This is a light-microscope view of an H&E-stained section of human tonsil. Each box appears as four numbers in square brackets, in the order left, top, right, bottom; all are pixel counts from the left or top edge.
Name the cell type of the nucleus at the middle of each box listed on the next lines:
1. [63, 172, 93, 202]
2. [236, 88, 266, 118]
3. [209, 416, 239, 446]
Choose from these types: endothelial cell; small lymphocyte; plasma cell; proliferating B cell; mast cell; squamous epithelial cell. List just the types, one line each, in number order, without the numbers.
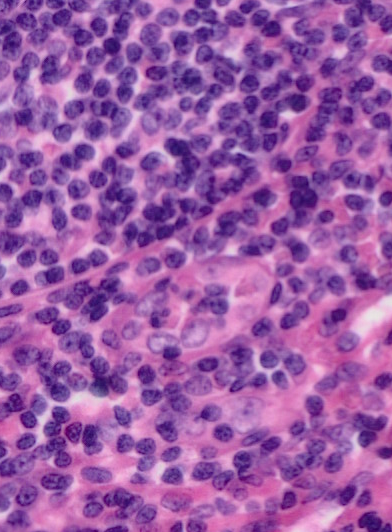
small lymphocyte
small lymphocyte
endothelial cell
